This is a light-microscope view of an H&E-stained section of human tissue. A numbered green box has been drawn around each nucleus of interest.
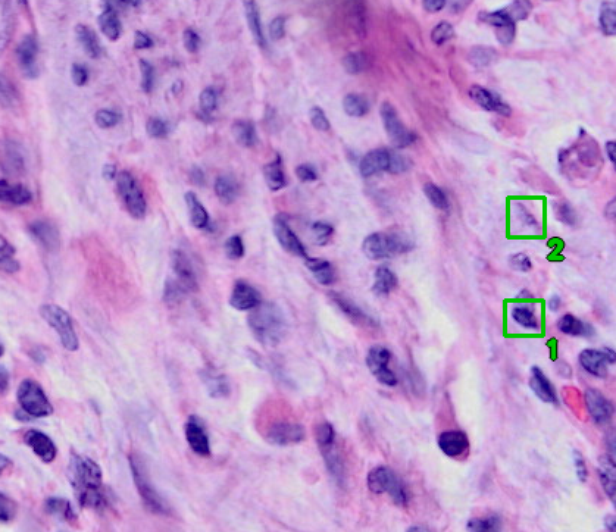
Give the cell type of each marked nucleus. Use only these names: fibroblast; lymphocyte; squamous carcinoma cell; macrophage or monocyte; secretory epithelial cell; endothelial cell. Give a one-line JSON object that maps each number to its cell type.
{"1": "lymphocyte", "2": "fibroblast"}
